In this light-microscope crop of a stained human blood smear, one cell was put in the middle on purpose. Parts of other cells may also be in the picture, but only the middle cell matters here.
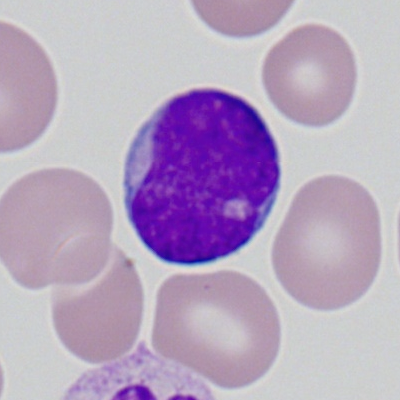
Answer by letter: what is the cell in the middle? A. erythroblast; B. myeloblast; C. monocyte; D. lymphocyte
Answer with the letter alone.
B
